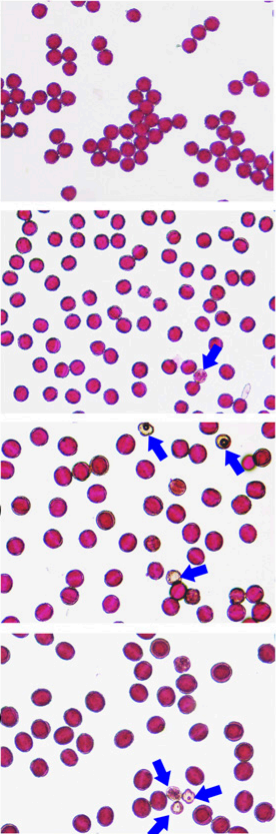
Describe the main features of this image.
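Pollen grains are spread on a slide, and most are round and evenly stained deep magenta. A few scattered grains are pale, smaller or misshapen, and some have a dark rim, and these stand apart from the filled grains.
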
